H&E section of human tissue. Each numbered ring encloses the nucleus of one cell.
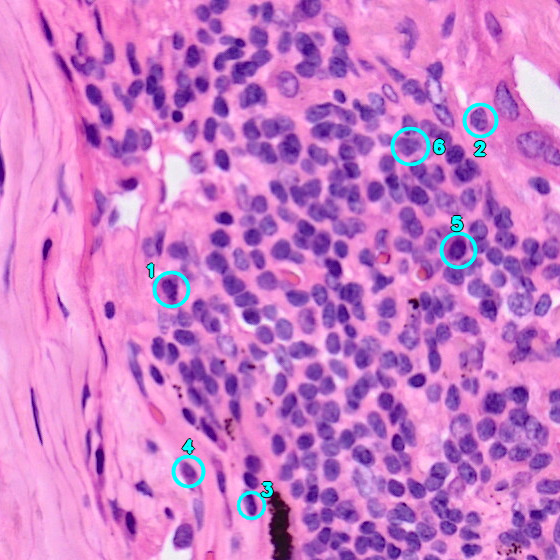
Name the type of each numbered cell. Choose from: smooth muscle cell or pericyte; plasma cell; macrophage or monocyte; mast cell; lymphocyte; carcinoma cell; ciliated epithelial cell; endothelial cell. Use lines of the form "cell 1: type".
cell 1: plasma cell
cell 2: lymphocyte
cell 3: plasma cell
cell 4: plasma cell
cell 5: plasma cell
cell 6: lymphocyte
